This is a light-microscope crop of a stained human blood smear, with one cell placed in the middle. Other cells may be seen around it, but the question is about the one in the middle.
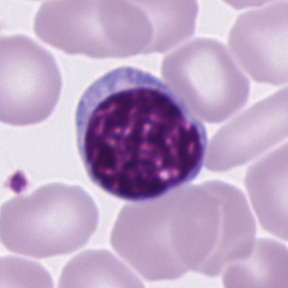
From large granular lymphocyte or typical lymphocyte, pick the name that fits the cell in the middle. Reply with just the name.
typical lymphocyte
